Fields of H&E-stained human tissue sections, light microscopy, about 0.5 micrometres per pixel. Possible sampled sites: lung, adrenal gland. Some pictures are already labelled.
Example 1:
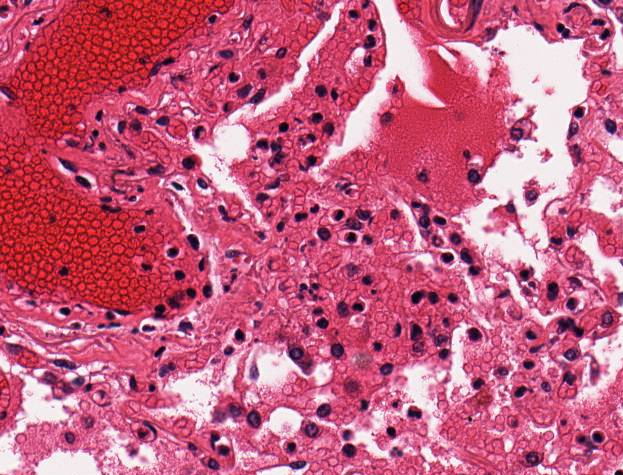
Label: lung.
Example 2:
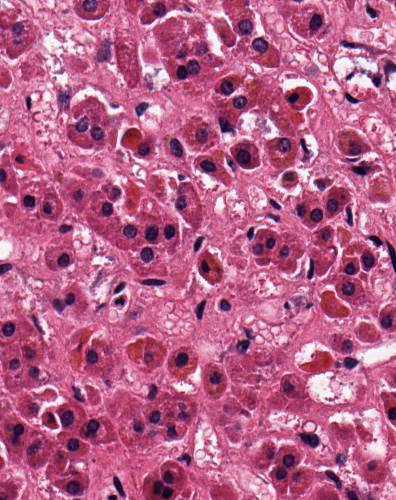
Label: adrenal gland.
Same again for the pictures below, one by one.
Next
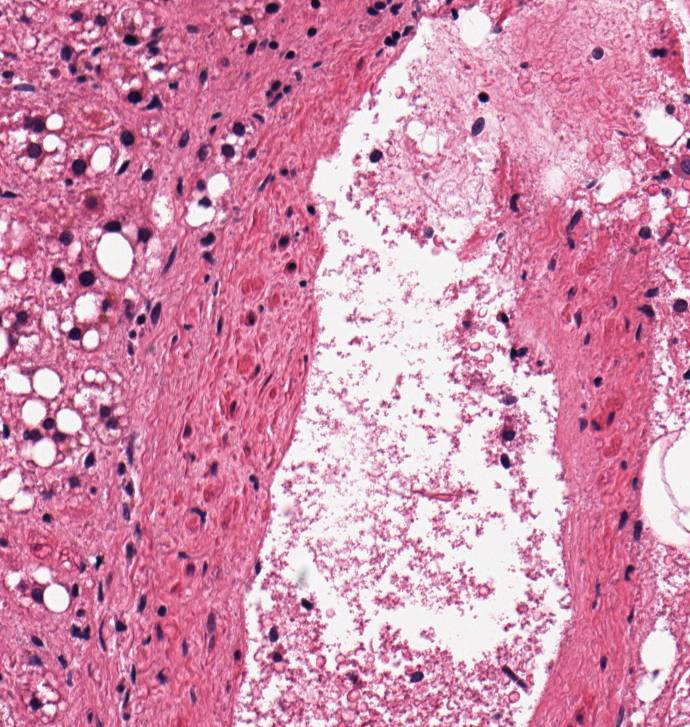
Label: adrenal gland.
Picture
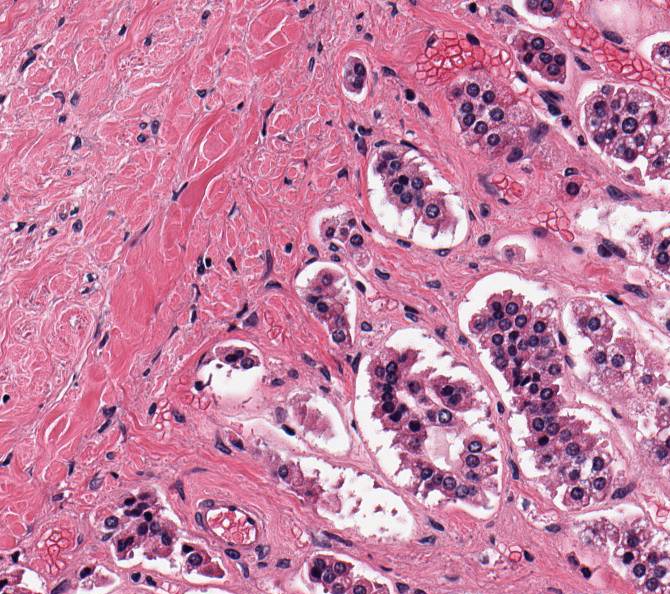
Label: adrenal gland.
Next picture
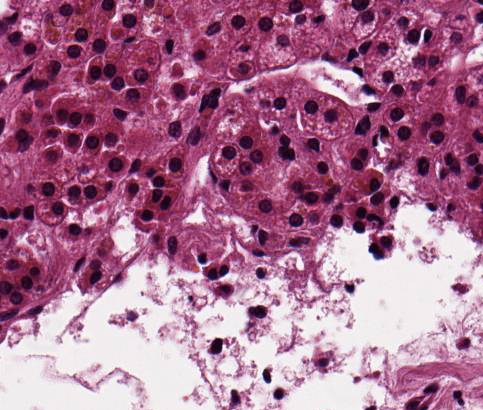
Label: adrenal gland.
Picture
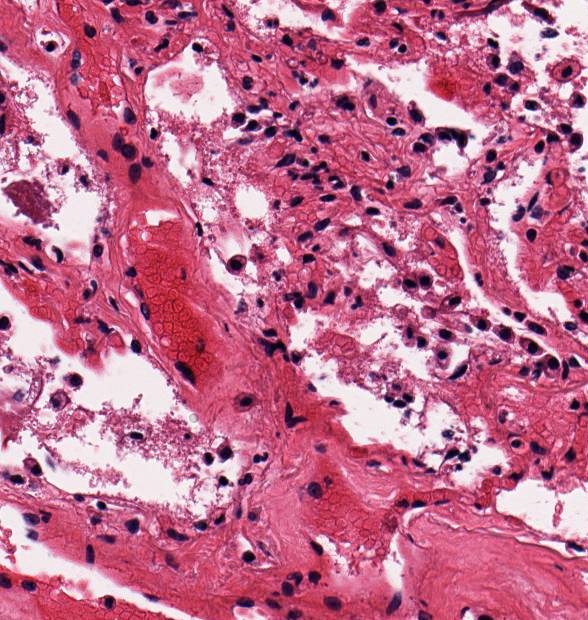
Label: lung.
